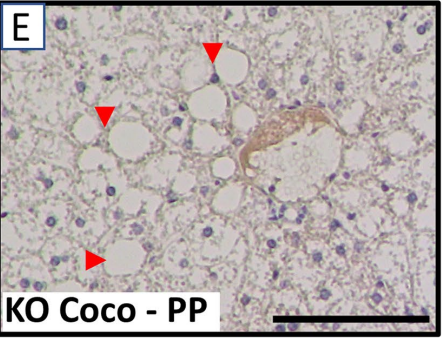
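This is liver tissue with polygonal hepatocytes whose cytoplasm is pale and finely reticulated, with small round blue nuclei. Scattered among them are large round, sharply bounded empty spaces, some pushing against neighbouring nuclei. These are lipid droplets of steatosis in hepatocytes.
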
